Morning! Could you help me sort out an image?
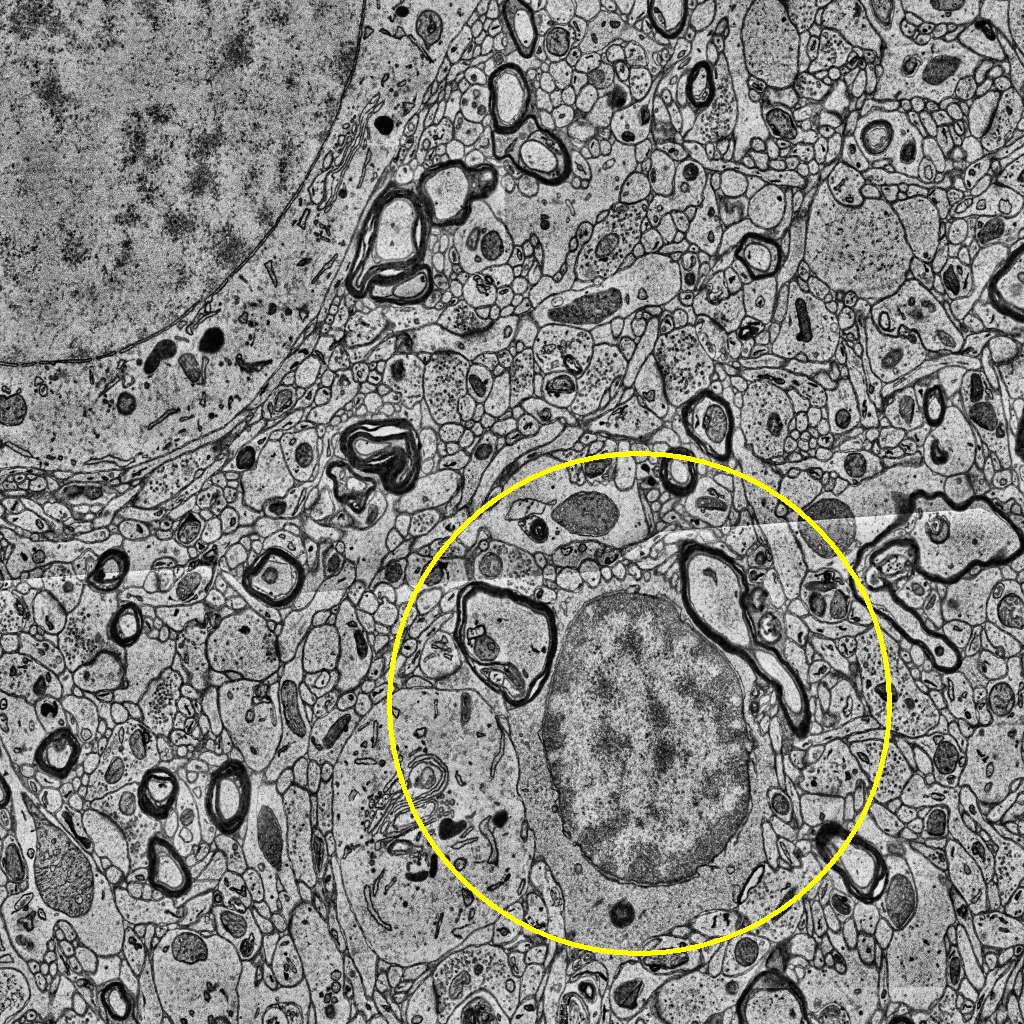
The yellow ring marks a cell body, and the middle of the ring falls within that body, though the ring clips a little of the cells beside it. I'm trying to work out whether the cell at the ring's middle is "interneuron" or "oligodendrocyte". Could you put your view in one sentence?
The cell body at the ring's middle is that of an oligodendrocyte.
